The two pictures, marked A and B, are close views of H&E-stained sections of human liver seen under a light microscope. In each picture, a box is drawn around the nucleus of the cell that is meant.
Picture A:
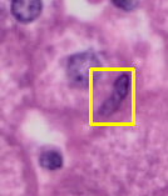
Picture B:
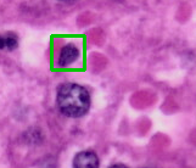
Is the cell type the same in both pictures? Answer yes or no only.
no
